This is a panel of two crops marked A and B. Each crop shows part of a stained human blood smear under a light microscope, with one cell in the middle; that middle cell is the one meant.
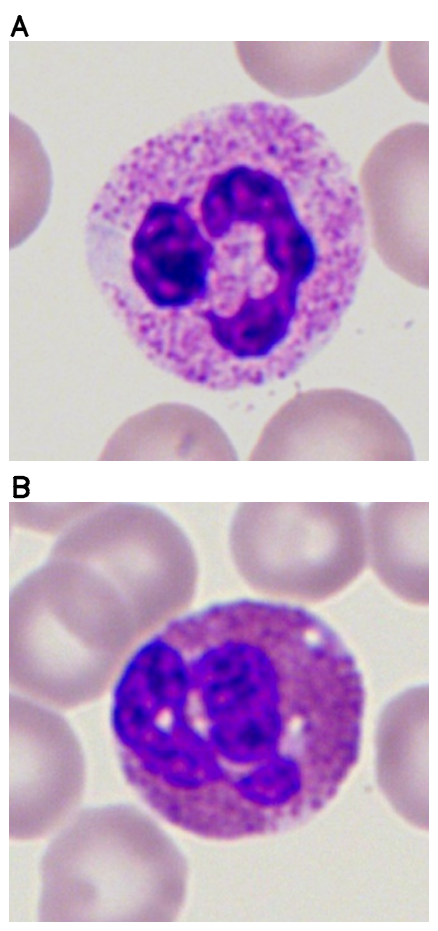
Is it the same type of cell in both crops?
no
